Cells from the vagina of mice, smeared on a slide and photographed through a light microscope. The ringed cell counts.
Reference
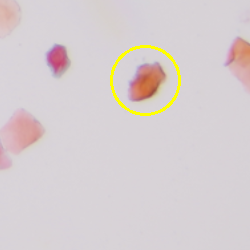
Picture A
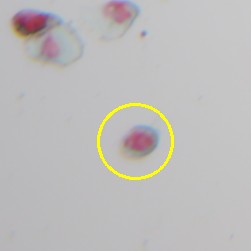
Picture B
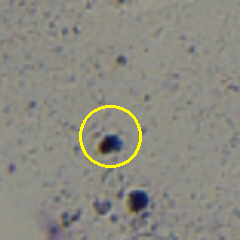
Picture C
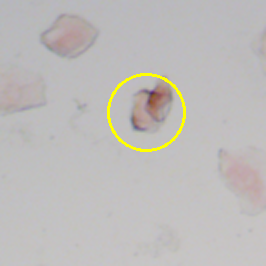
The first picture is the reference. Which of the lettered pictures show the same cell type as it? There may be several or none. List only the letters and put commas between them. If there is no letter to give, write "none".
C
